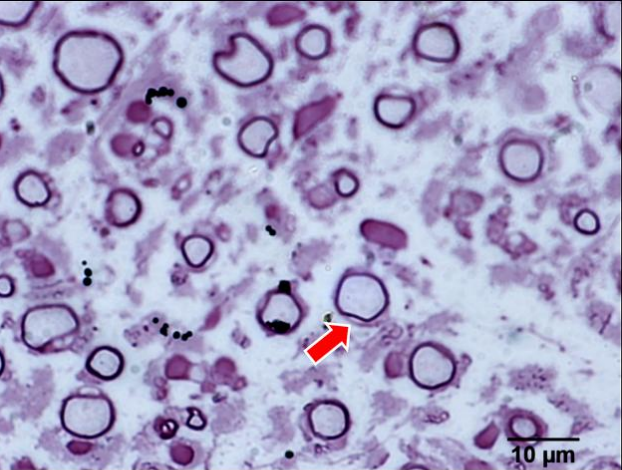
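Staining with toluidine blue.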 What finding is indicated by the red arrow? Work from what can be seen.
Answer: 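Thin myelin sheath. The marked fibre has a wide pale axon surrounded by a thin dark ring. Other fibres of similar size also show thin dark rings.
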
